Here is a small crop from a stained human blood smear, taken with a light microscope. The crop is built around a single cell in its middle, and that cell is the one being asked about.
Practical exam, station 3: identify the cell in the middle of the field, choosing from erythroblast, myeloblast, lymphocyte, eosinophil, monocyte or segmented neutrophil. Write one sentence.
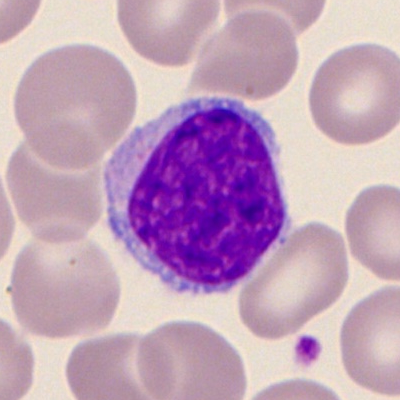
The central cell shown in this smear crop is a lymphocyte.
